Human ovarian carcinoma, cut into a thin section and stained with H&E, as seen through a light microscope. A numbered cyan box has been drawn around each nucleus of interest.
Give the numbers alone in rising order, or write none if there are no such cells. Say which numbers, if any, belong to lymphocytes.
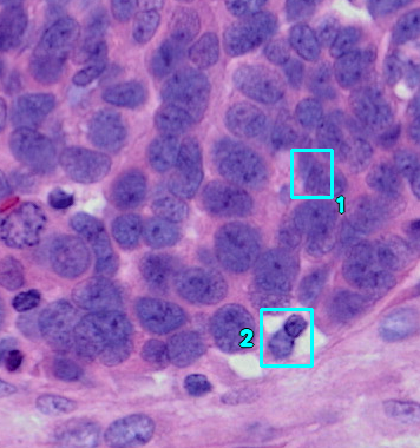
none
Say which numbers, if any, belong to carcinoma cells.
1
